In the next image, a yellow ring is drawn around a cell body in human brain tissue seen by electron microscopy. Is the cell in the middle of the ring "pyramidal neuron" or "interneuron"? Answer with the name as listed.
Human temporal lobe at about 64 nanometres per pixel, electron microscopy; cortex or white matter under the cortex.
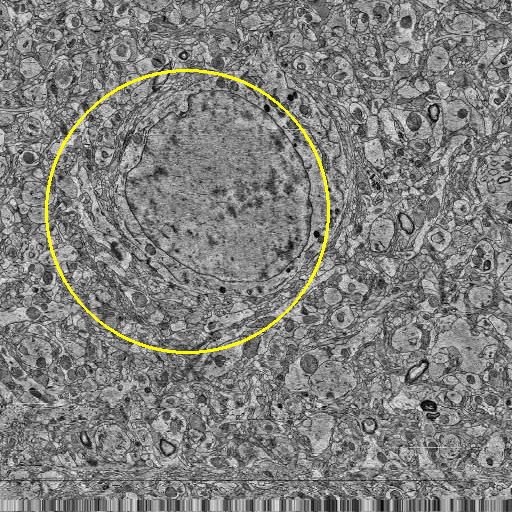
pyramidal neuron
